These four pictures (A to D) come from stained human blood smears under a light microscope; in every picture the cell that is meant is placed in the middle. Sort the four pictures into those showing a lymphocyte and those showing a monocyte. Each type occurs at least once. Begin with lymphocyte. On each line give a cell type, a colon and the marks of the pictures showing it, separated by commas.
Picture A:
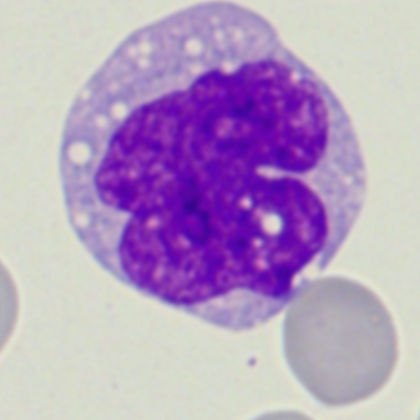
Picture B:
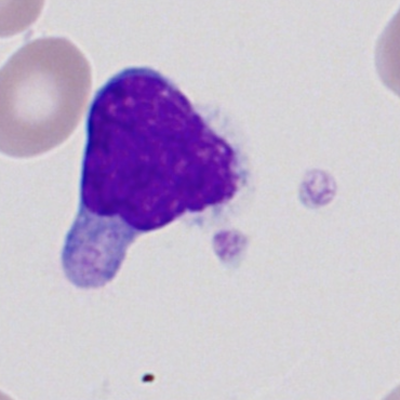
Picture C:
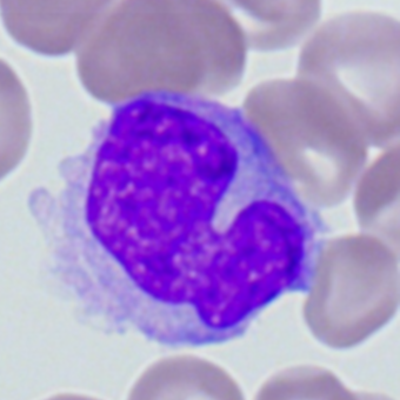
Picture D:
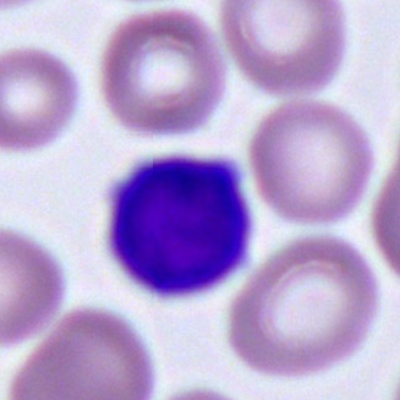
lymphocyte: B, D
monocyte: A, C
